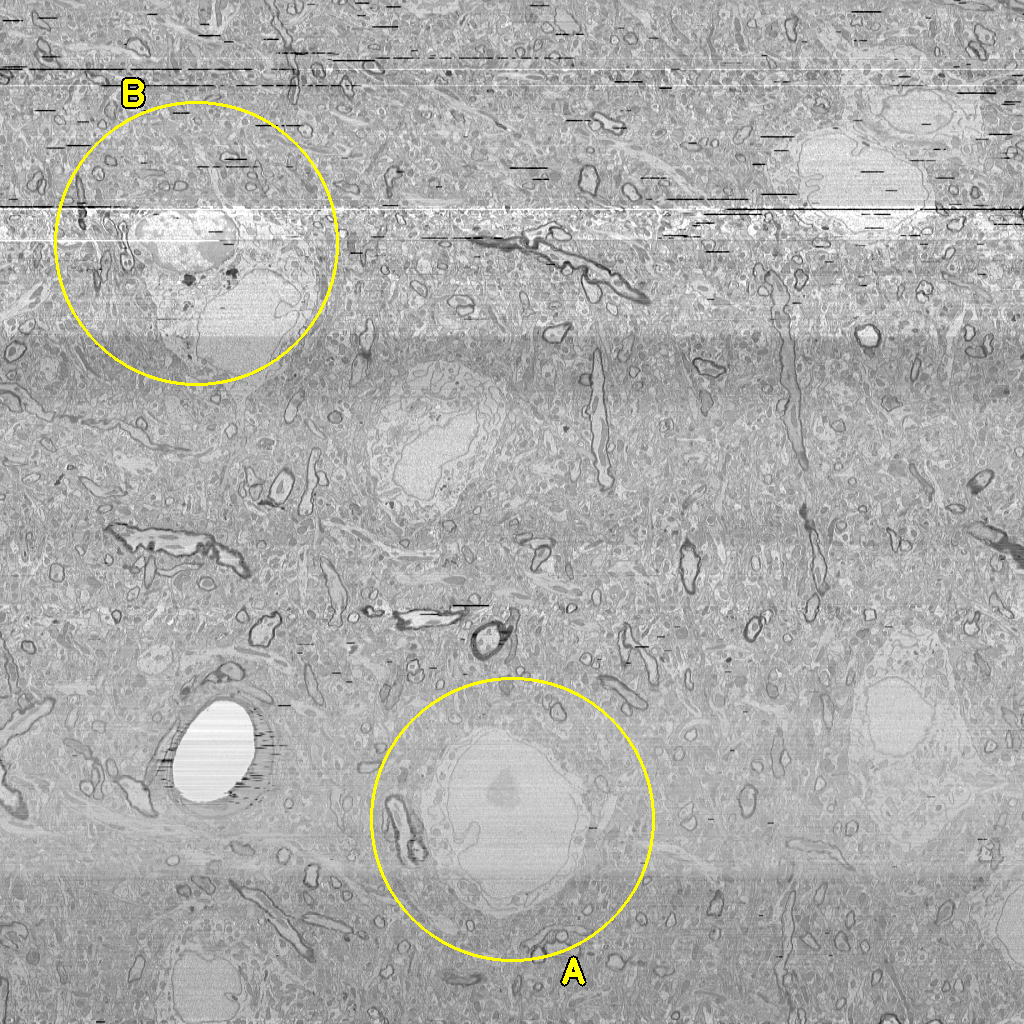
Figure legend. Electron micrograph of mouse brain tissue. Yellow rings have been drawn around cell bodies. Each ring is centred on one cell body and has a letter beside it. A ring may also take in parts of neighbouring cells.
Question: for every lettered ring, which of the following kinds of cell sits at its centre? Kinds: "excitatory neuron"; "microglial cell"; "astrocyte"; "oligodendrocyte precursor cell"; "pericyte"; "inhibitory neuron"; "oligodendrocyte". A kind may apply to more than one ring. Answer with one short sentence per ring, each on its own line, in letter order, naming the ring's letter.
Ring A is centred on an excitatory neuron.
Ring B is centred on an oligodendrocyte.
